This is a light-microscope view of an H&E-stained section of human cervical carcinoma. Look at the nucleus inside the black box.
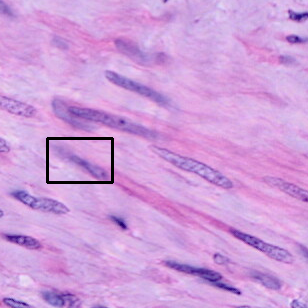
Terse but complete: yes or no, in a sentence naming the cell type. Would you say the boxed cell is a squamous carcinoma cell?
No, not quite: the boxed cell is a smooth muscle cell rather than a squamous carcinoma cell.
